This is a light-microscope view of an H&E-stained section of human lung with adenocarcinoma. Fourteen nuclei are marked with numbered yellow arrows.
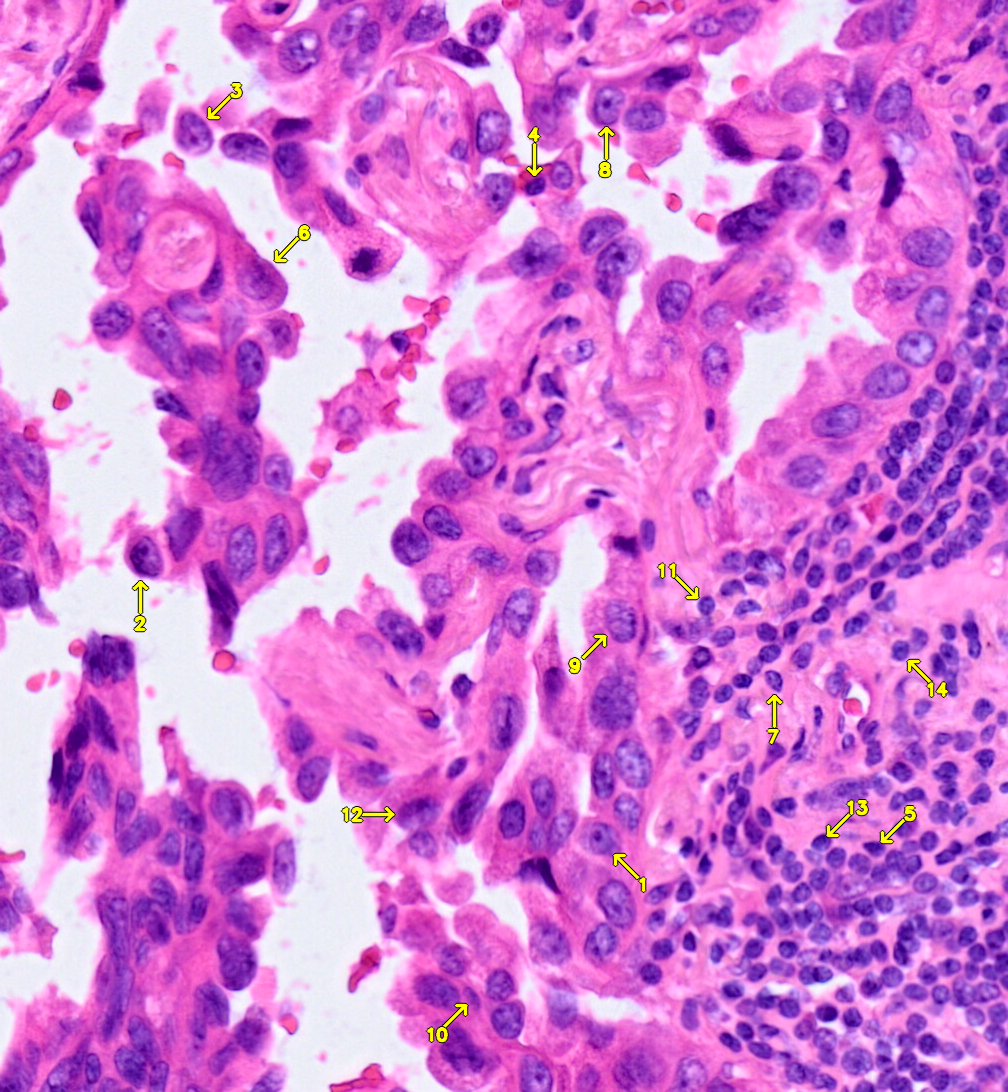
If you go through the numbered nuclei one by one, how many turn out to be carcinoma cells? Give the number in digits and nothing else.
8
